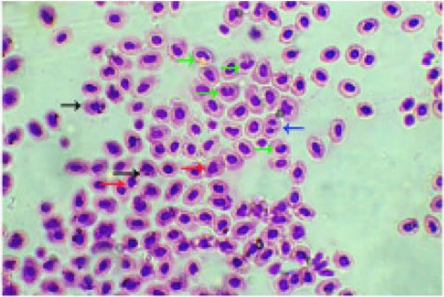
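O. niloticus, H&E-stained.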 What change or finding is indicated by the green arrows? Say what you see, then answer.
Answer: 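The green arrows point at cells among densely packed oval cells with dark nuclei. So: kidney shape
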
